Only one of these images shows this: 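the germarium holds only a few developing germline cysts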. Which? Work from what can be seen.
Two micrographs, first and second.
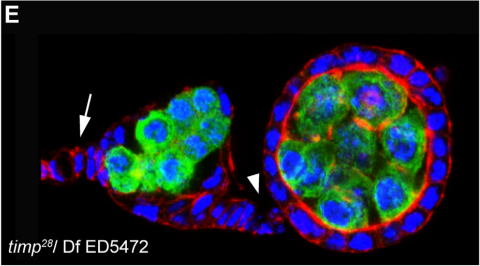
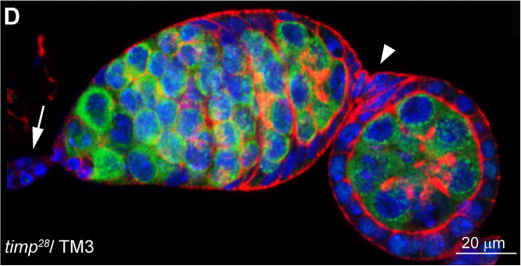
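The first image. First image: the region behind the tip contains only a small cluster of green cells. Second image: an elongated oval is packed with many green cells grouped into several cysts.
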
